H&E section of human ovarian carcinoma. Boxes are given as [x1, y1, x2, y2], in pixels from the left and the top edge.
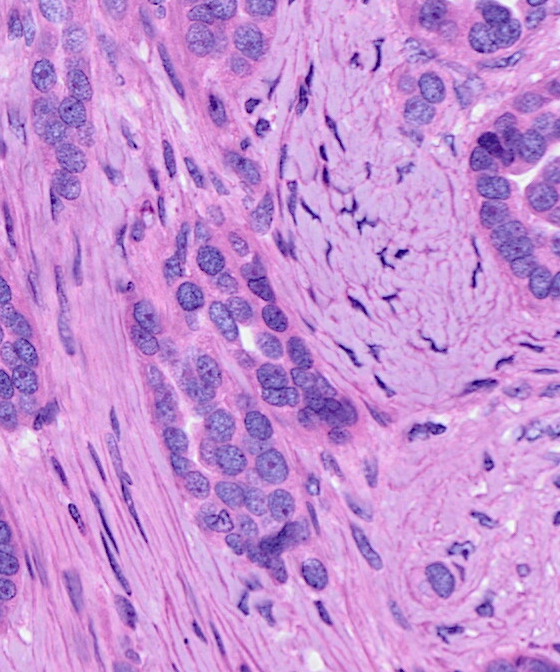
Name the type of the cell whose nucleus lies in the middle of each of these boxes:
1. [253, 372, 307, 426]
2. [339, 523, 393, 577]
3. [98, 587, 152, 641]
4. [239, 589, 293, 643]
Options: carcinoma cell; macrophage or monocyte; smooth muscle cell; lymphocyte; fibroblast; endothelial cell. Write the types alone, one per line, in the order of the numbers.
carcinoma cell
fibroblast
fibroblast
fibroblast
